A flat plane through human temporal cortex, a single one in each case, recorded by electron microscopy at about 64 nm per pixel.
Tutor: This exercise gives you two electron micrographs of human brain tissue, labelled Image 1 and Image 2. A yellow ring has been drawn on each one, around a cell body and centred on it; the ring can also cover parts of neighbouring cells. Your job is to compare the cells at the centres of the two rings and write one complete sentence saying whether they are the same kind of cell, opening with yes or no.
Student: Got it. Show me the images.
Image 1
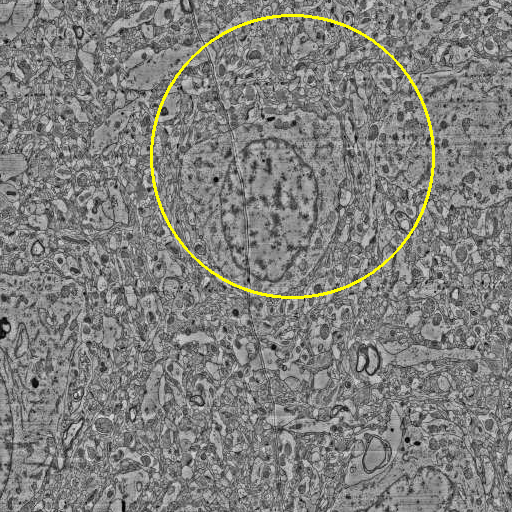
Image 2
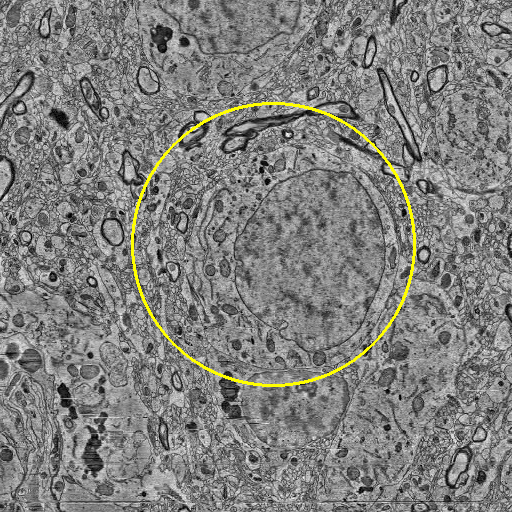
Yes, the two cells belong to the same kind.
